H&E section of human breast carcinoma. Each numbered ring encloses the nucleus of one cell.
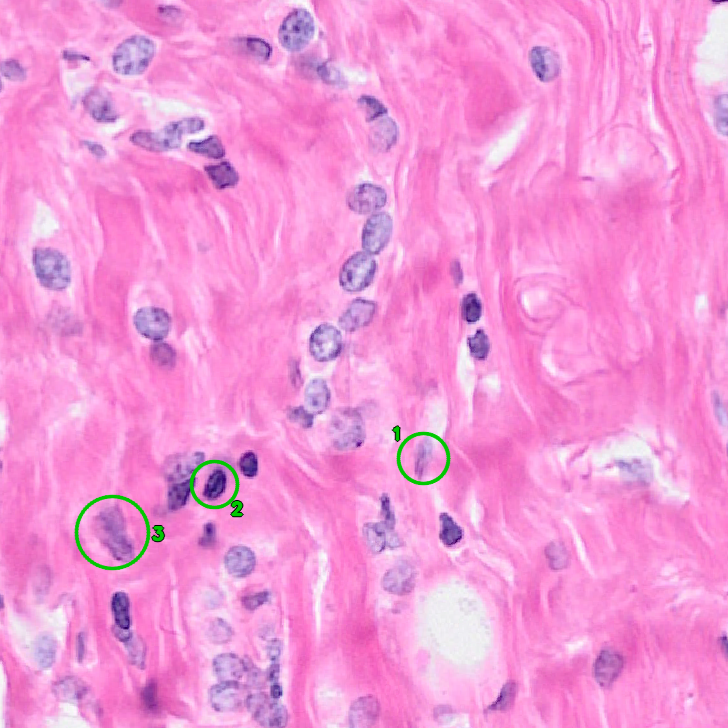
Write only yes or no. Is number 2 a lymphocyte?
yes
